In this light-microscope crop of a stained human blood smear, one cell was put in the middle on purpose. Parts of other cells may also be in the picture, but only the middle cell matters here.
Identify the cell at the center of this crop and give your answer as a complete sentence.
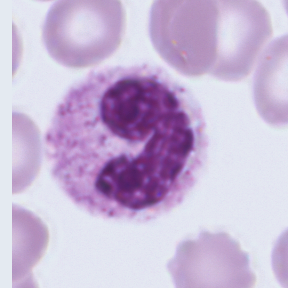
The central cell shown in this smear crop is a band neutrophil.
